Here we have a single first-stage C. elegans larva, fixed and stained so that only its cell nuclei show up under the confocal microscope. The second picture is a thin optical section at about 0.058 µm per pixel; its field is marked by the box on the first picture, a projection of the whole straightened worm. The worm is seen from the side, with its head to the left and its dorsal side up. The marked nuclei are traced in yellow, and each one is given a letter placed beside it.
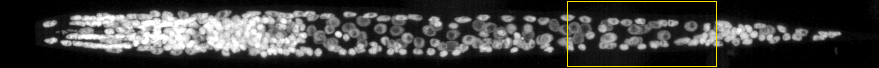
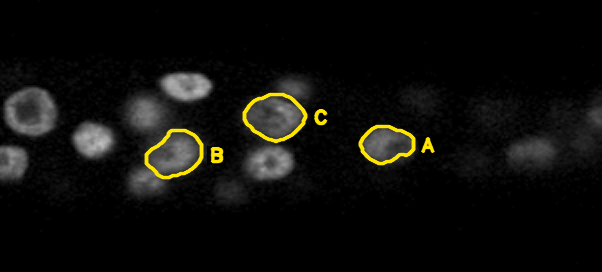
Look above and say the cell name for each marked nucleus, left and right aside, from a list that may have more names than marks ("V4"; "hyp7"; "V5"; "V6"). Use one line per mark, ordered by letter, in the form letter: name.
A: V6
B: V5
C: hyp7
